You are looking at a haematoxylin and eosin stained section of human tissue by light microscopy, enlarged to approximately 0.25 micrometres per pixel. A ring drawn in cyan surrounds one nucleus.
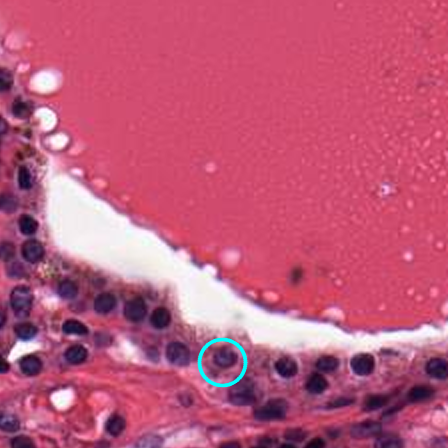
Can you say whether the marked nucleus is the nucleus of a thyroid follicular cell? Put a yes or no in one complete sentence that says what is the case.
Yes, the marked nucleus is to be read as that of a thyroid follicular cell.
